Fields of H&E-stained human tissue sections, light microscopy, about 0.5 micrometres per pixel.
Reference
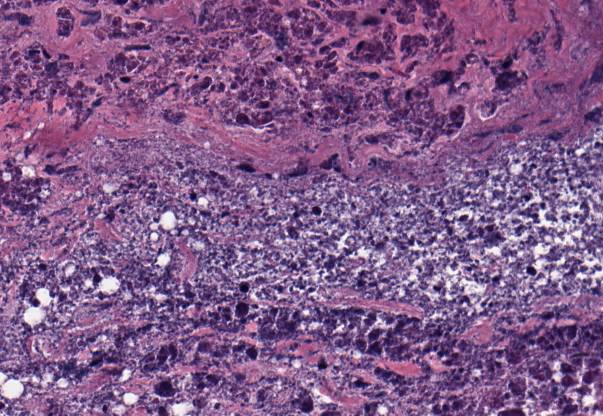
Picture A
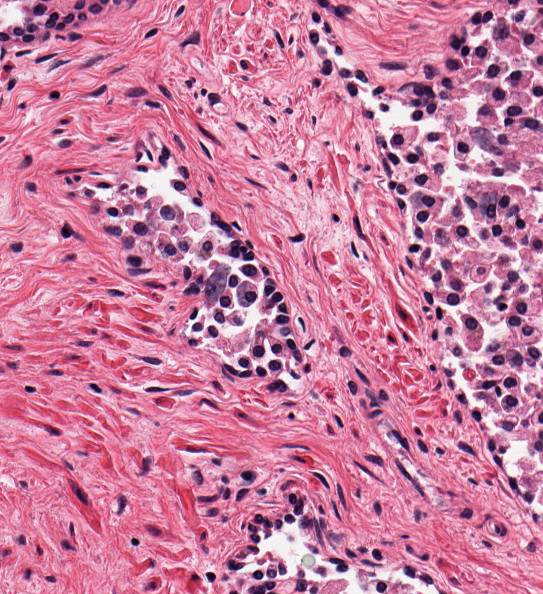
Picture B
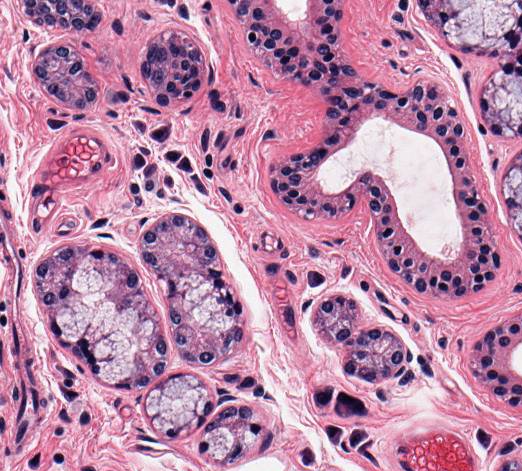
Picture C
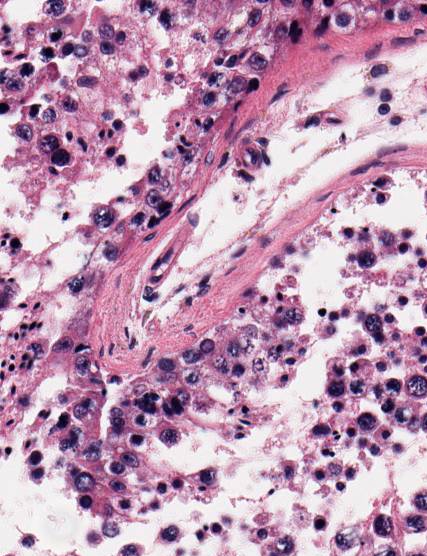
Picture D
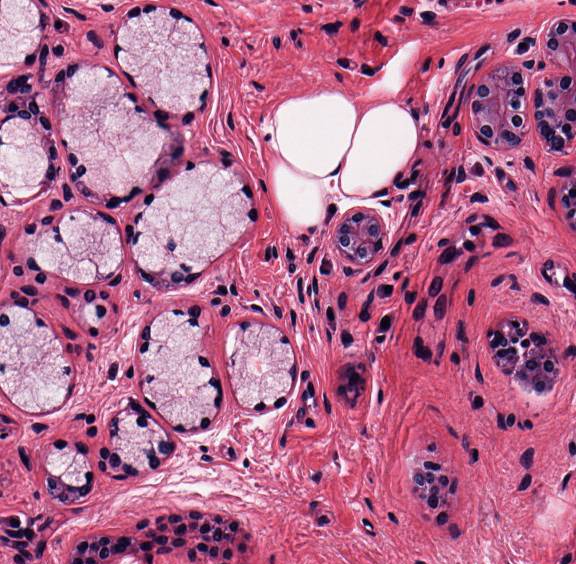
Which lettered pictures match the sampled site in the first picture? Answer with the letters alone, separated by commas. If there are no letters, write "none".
none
